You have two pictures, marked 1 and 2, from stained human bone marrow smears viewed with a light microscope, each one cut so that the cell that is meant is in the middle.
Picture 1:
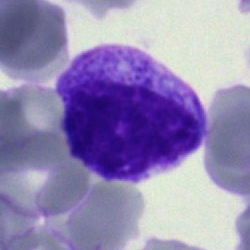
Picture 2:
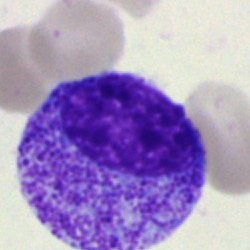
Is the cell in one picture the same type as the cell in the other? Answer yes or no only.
yes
